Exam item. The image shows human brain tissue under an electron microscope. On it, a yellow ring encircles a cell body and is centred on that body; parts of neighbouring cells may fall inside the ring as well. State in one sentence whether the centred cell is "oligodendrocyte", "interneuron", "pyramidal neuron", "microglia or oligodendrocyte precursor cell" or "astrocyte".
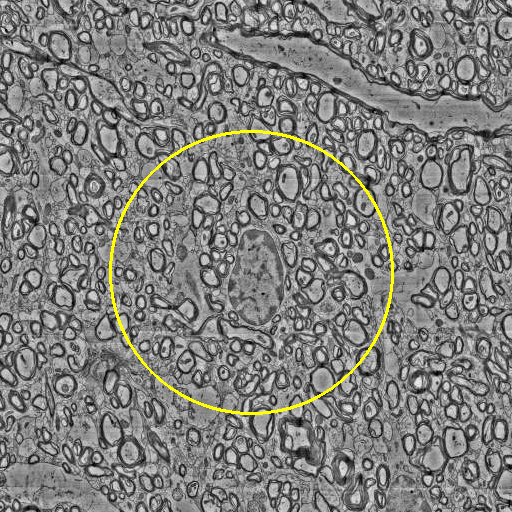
The cell body centred in the ring is a microglial cell or oligodendrocyte precursor cell.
